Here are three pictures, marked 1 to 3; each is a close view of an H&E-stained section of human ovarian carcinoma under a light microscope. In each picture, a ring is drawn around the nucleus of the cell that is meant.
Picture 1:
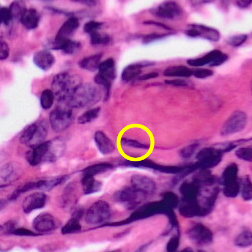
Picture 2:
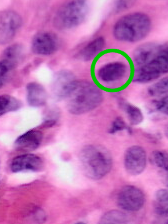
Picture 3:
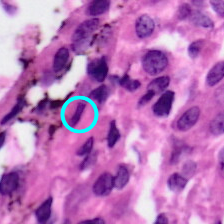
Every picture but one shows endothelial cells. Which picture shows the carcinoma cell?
2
